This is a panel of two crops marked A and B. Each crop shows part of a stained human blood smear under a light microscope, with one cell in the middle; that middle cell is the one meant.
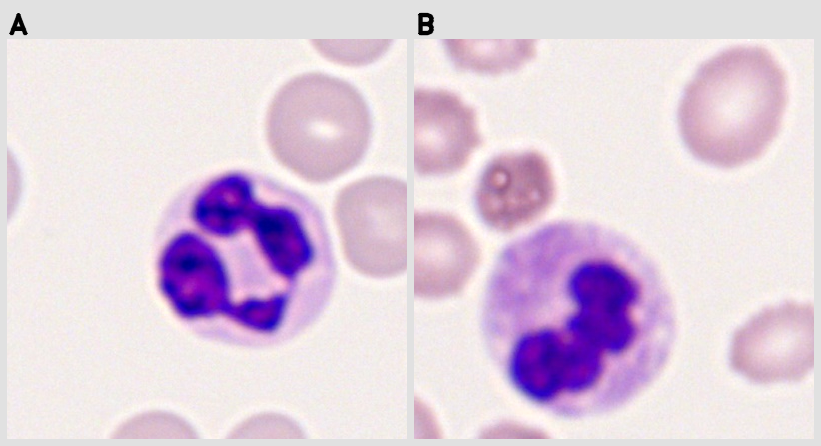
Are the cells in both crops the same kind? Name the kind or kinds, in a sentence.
Yes, the cells placed at the centre of both crops are segmented neutrophils.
